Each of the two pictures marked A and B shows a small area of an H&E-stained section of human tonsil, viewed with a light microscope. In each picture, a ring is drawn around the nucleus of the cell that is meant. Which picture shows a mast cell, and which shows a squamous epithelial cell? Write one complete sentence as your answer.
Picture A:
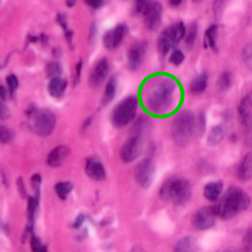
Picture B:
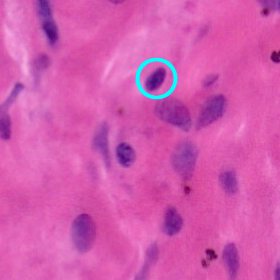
Picture A shows a squamous epithelial cell and picture B shows a mast cell.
